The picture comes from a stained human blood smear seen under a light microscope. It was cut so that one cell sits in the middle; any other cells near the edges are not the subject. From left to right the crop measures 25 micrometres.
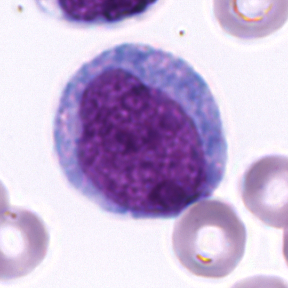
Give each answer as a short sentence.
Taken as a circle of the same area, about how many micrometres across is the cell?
The diameter of the cell comes to about 15 micrometres.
